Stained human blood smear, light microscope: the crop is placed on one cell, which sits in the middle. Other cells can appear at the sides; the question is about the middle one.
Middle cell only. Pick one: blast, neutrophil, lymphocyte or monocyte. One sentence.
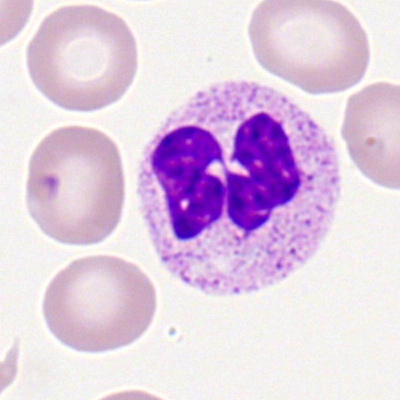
In the middle of this smear crop, the cell is a neutrophil.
